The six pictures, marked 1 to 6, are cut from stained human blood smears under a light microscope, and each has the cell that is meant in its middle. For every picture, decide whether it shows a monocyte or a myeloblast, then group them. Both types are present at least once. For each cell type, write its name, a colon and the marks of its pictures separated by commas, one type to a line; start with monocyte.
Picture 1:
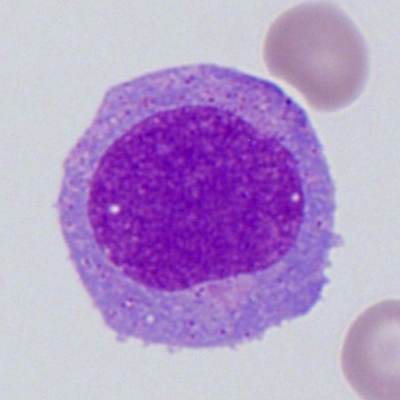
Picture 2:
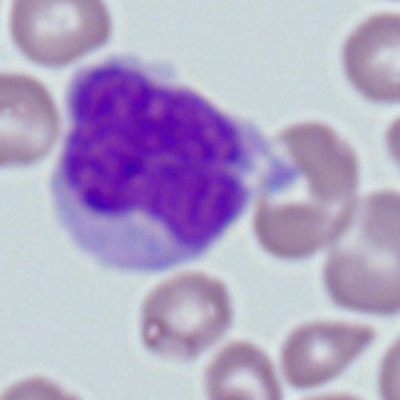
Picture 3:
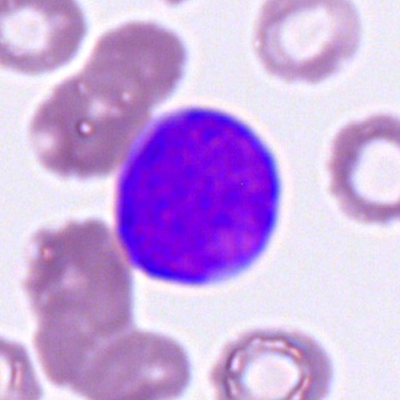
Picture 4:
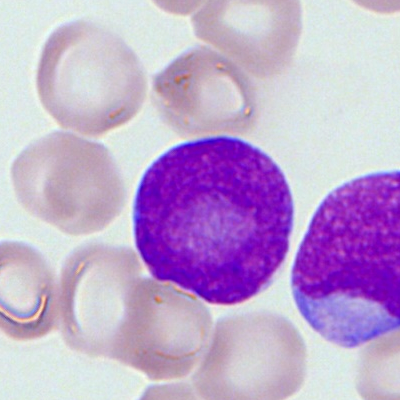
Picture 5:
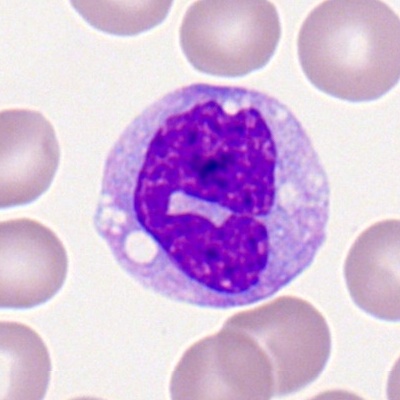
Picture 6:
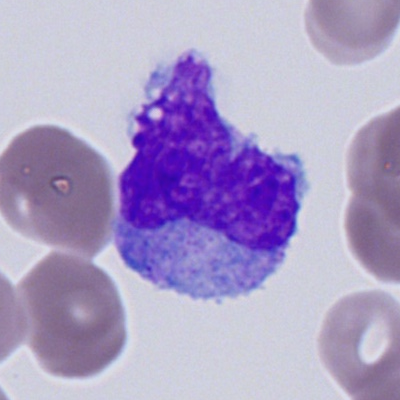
monocyte: 2, 5, 6
myeloblast: 1, 3, 4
